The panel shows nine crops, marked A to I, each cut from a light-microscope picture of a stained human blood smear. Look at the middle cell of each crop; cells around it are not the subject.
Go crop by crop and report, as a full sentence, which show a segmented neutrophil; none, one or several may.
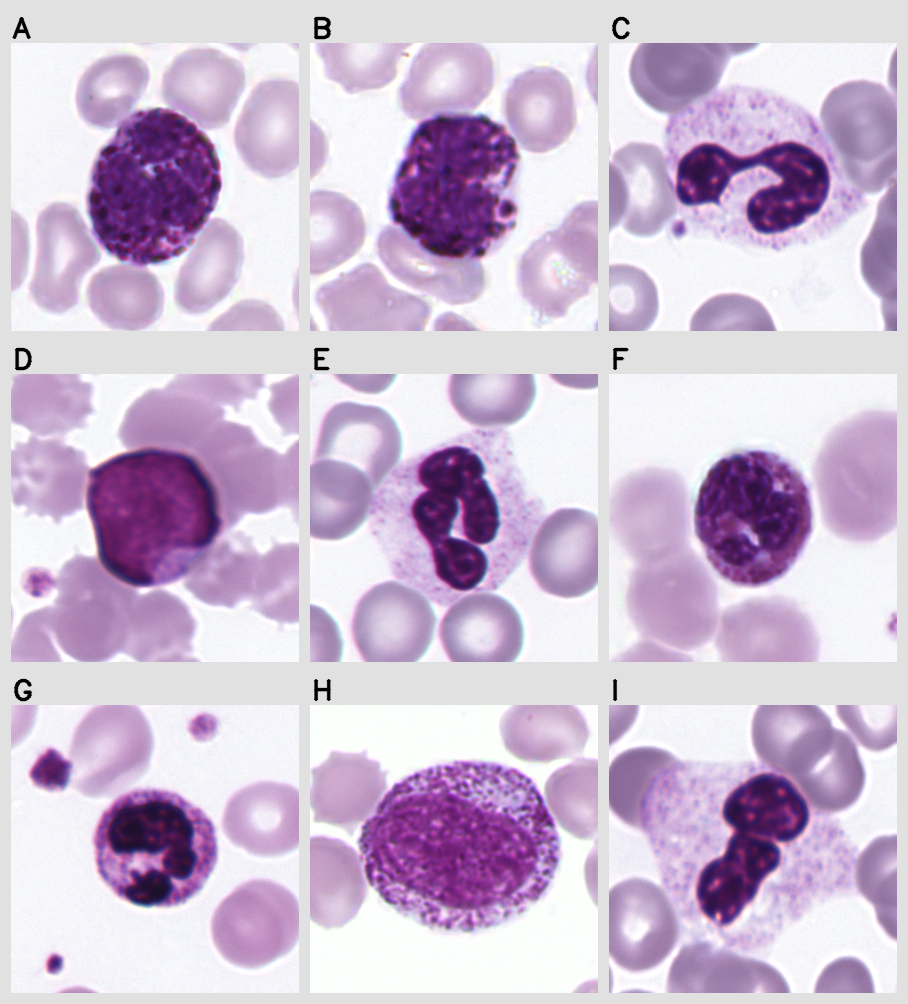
Found at the centre of crops C, E, G and I are segmented neutrophils.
